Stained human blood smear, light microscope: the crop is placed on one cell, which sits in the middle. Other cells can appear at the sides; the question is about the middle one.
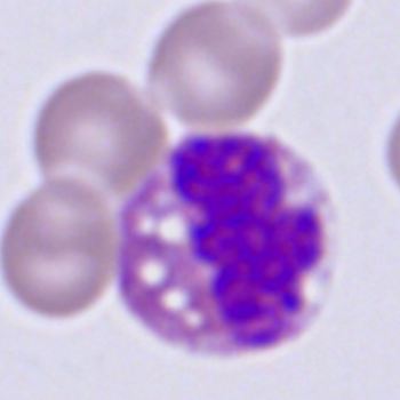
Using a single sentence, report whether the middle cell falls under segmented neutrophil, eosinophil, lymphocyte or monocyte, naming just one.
In short, the cell at the center is an eosinophil.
